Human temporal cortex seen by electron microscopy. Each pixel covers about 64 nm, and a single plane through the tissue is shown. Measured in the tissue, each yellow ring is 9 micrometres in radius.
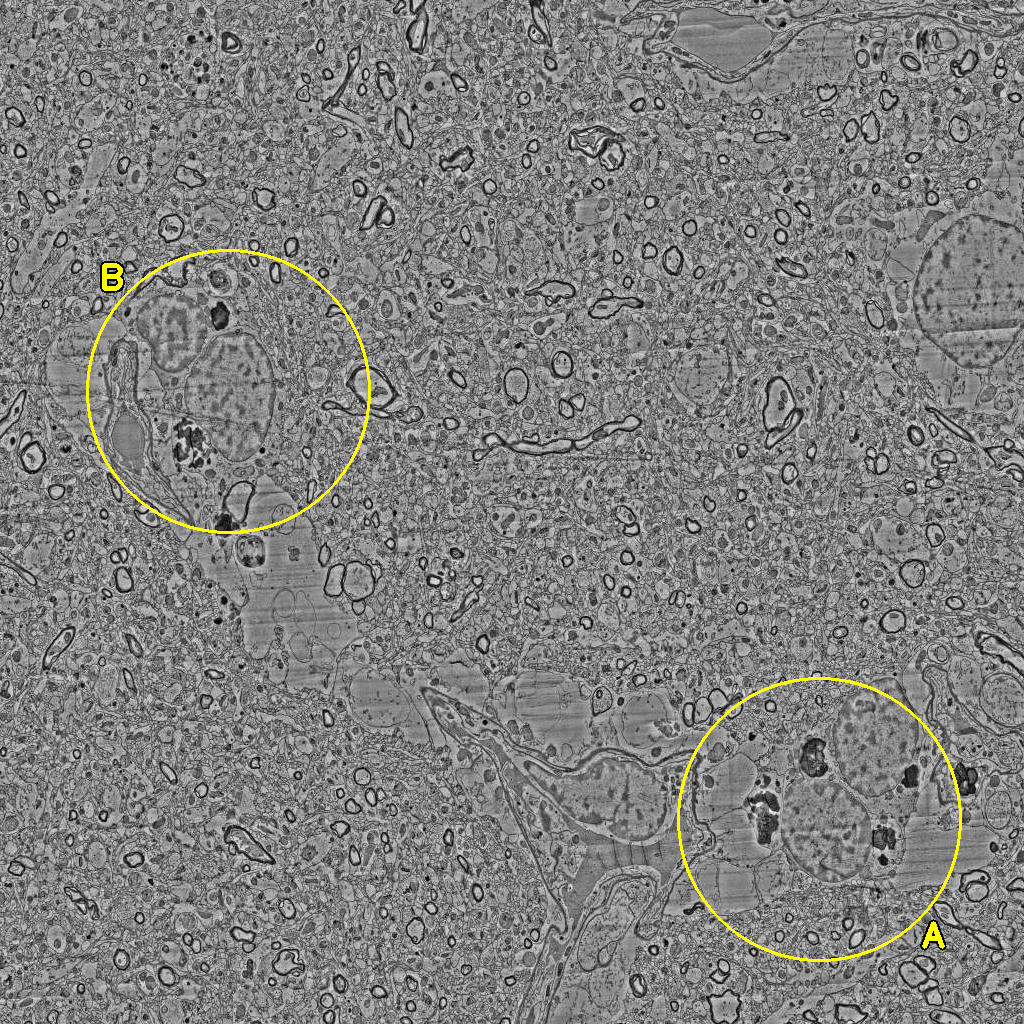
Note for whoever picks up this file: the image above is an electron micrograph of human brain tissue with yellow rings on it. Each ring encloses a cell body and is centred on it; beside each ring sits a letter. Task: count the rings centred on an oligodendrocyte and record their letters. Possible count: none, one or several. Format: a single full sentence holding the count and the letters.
The rings carrying the letters A and B are two in total, each with an oligodendrocyte at its centre.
